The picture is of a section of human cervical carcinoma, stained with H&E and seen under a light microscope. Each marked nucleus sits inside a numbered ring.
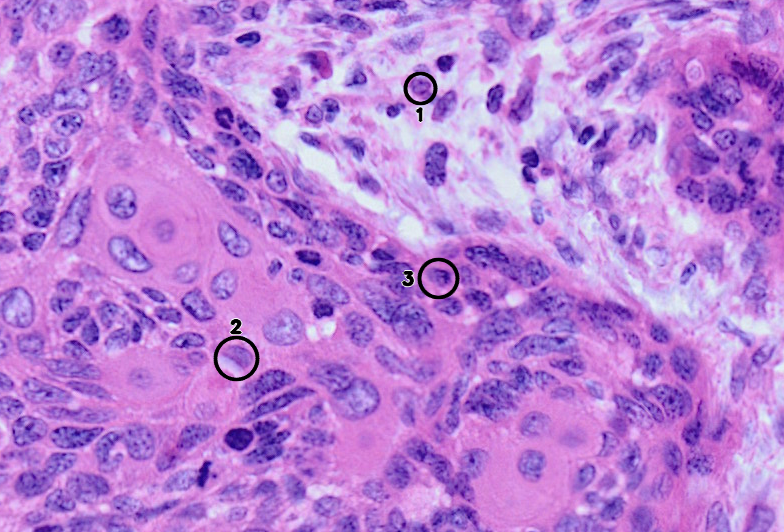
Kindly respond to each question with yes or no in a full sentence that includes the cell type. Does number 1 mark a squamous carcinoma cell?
No, the cell given number 1 is a macrophage or monocyte, not a squamous carcinoma cell.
